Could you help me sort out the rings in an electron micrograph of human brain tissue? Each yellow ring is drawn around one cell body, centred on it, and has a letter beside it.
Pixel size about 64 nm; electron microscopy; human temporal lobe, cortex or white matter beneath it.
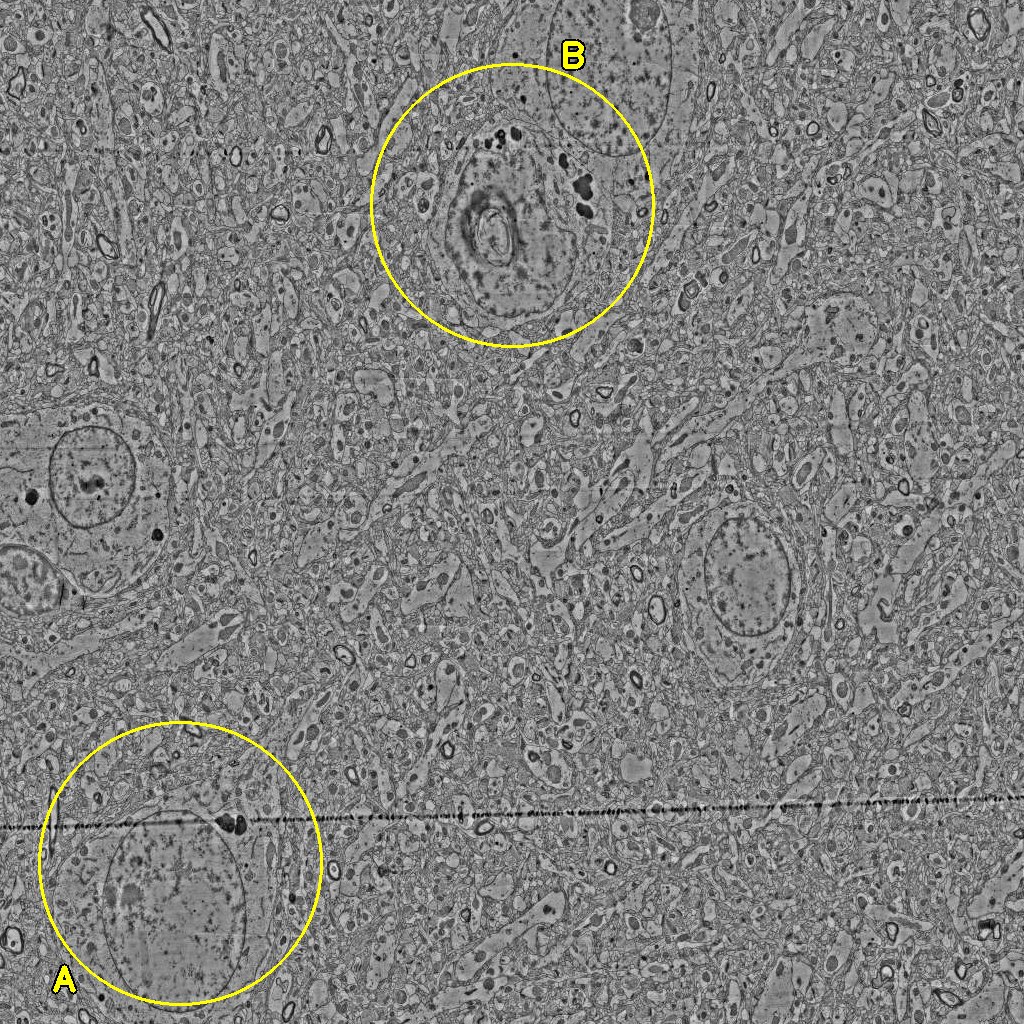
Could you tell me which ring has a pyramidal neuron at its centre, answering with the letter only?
A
